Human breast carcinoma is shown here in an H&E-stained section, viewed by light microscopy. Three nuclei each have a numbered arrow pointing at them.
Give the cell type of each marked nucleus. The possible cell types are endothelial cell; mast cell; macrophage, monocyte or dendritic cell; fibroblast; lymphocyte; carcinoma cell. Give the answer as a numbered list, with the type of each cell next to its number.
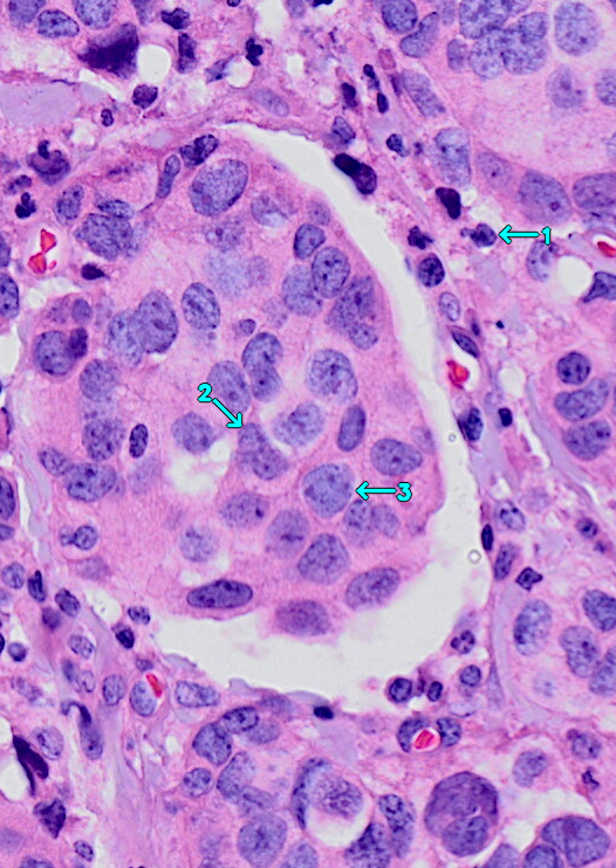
1. lymphocyte
2. carcinoma cell
3. carcinoma cell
